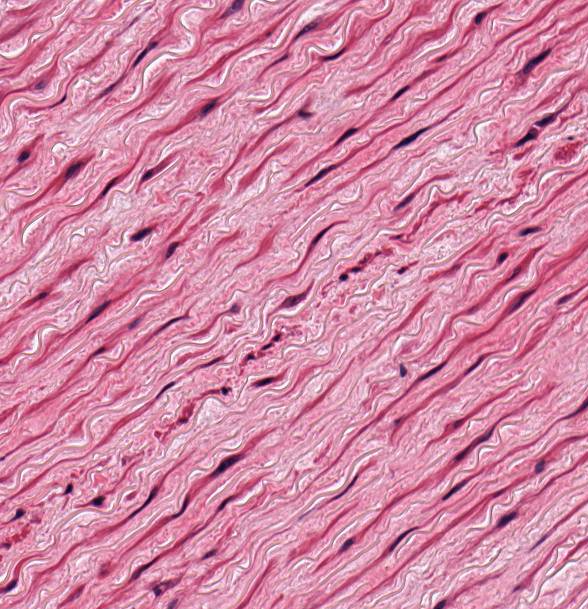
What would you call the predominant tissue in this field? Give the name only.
tunica media of an artery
